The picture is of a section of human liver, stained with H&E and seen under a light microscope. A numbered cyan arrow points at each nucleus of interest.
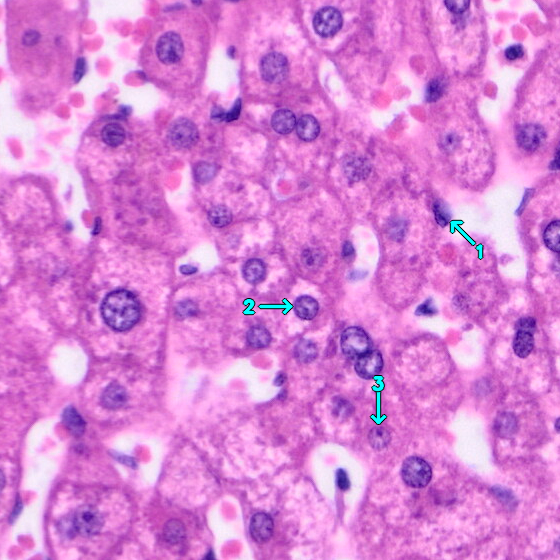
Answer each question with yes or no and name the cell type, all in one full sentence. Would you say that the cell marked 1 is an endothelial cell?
Yes, cell number 1 is classified as an endothelial cell.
